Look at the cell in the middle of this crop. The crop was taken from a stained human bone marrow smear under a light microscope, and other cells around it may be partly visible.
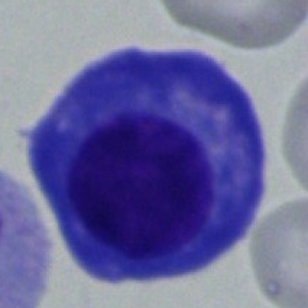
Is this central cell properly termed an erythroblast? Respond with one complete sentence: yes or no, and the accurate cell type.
No, the cell found centrally in the crop is a plasma cell, not an erythroblast.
